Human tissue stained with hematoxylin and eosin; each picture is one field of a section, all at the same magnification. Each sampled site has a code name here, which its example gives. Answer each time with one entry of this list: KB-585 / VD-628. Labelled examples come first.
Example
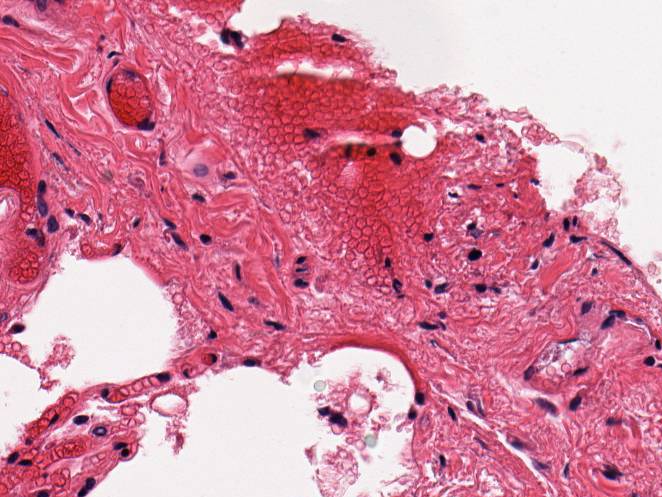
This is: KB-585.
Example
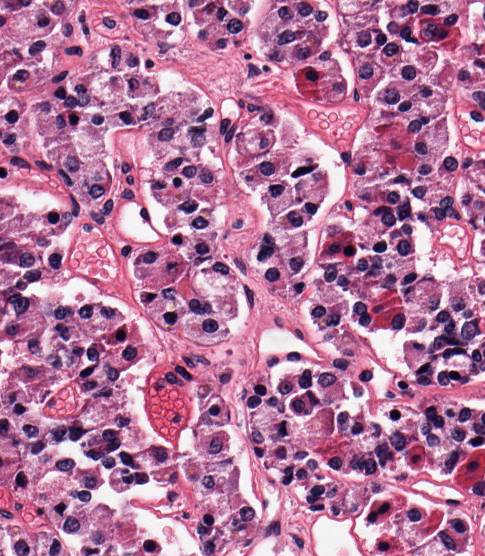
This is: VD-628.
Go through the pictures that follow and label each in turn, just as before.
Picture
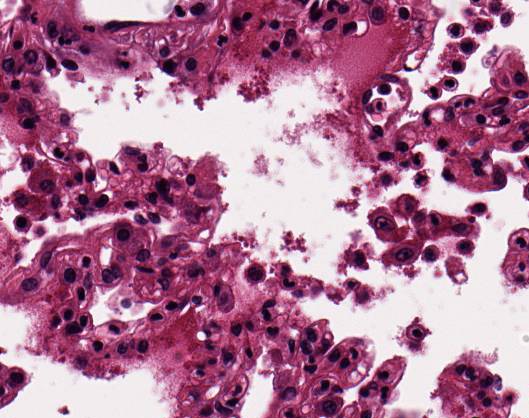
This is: KB-585.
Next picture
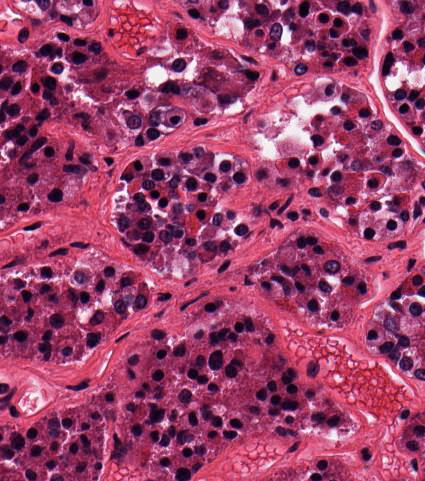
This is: VD-628.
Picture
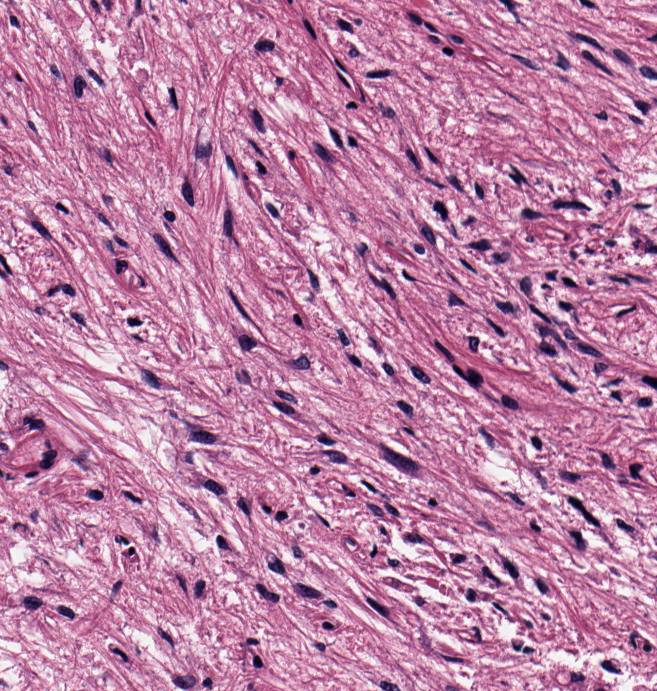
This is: VD-628.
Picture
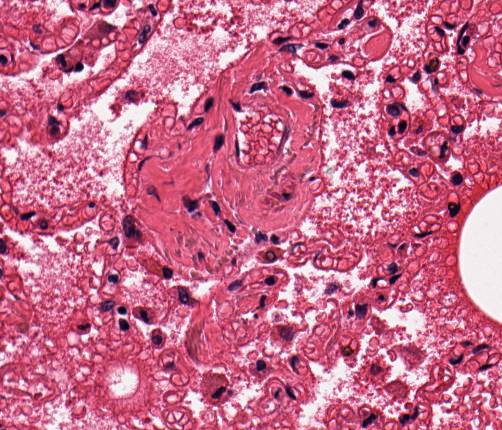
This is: KB-585.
